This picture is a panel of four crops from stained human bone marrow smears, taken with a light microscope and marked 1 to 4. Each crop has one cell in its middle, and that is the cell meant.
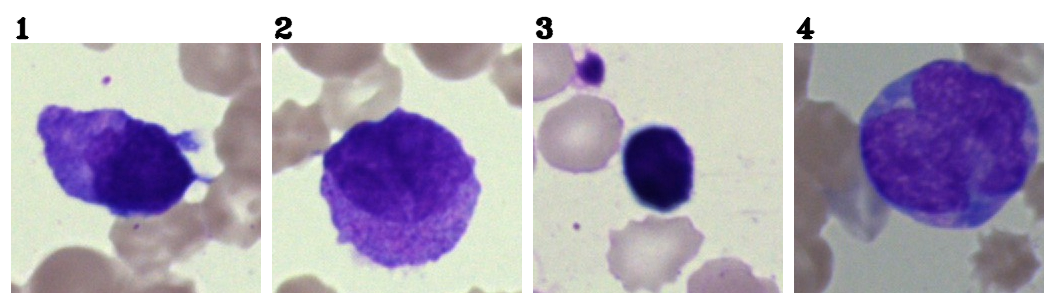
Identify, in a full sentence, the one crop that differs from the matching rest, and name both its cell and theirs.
The different crop is crop 3, a lymphocyte; all the others show blasts.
